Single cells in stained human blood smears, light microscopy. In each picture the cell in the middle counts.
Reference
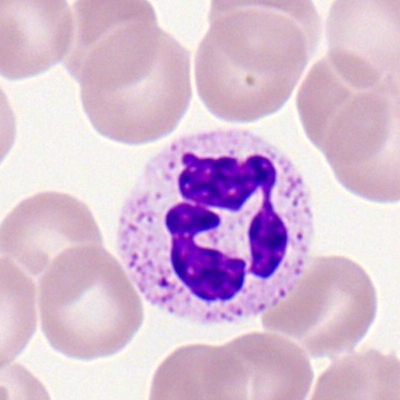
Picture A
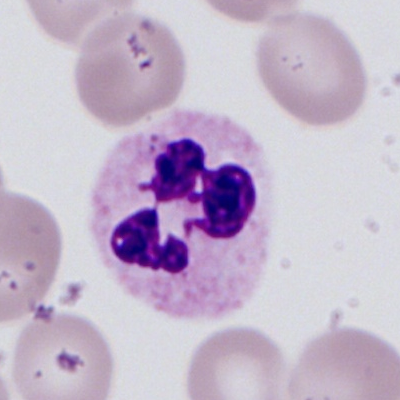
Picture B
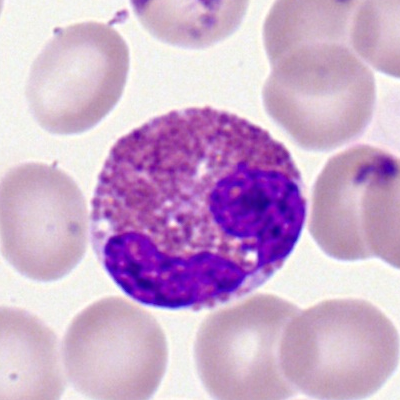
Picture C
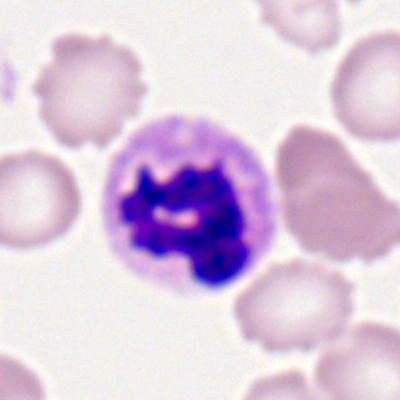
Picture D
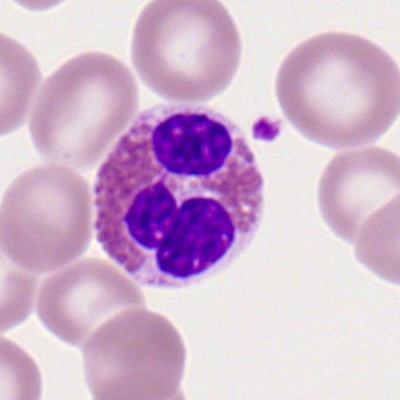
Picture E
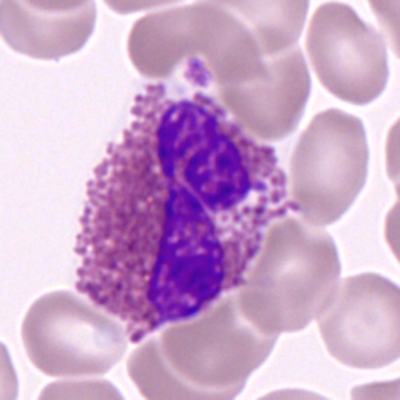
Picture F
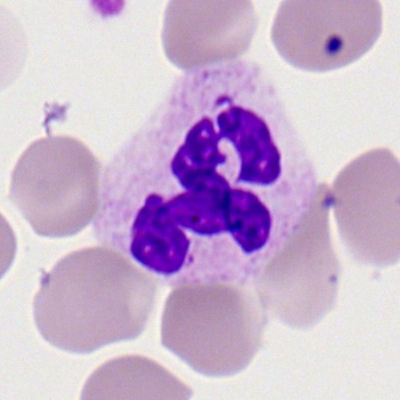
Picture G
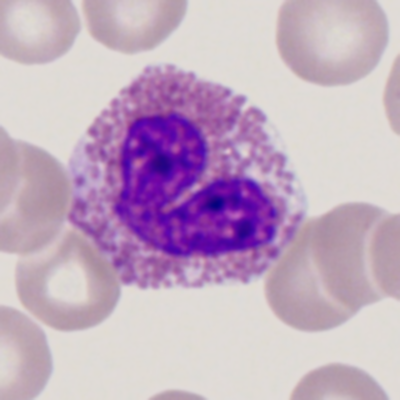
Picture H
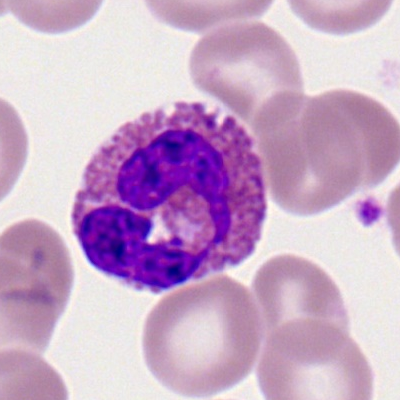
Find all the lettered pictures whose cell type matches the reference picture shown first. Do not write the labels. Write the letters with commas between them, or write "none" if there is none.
A, C, F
